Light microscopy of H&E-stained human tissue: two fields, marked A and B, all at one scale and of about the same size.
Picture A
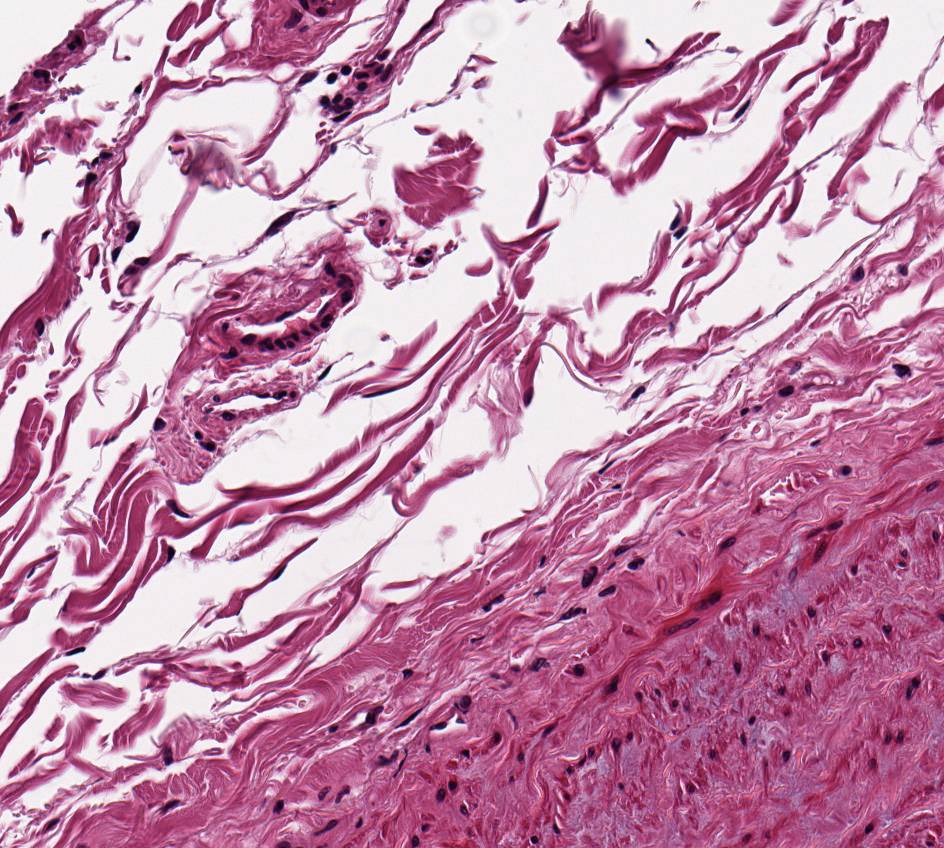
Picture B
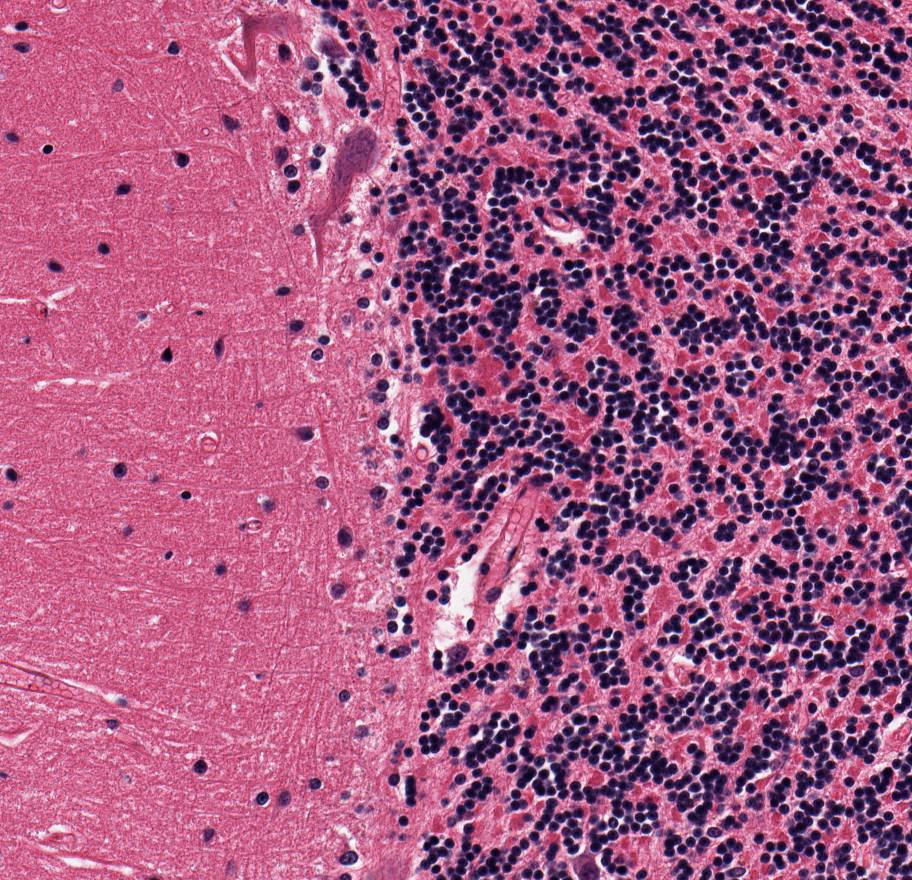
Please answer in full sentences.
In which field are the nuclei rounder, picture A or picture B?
Rounder nuclei lie in picture B.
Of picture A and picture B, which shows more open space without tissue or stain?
More of picture A is empty and white.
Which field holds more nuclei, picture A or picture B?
There are more nuclei in picture B.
